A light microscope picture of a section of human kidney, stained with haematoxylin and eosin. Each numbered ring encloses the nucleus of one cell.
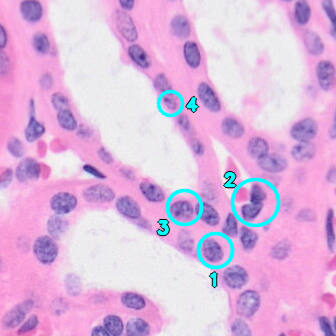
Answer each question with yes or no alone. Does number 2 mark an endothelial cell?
yes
